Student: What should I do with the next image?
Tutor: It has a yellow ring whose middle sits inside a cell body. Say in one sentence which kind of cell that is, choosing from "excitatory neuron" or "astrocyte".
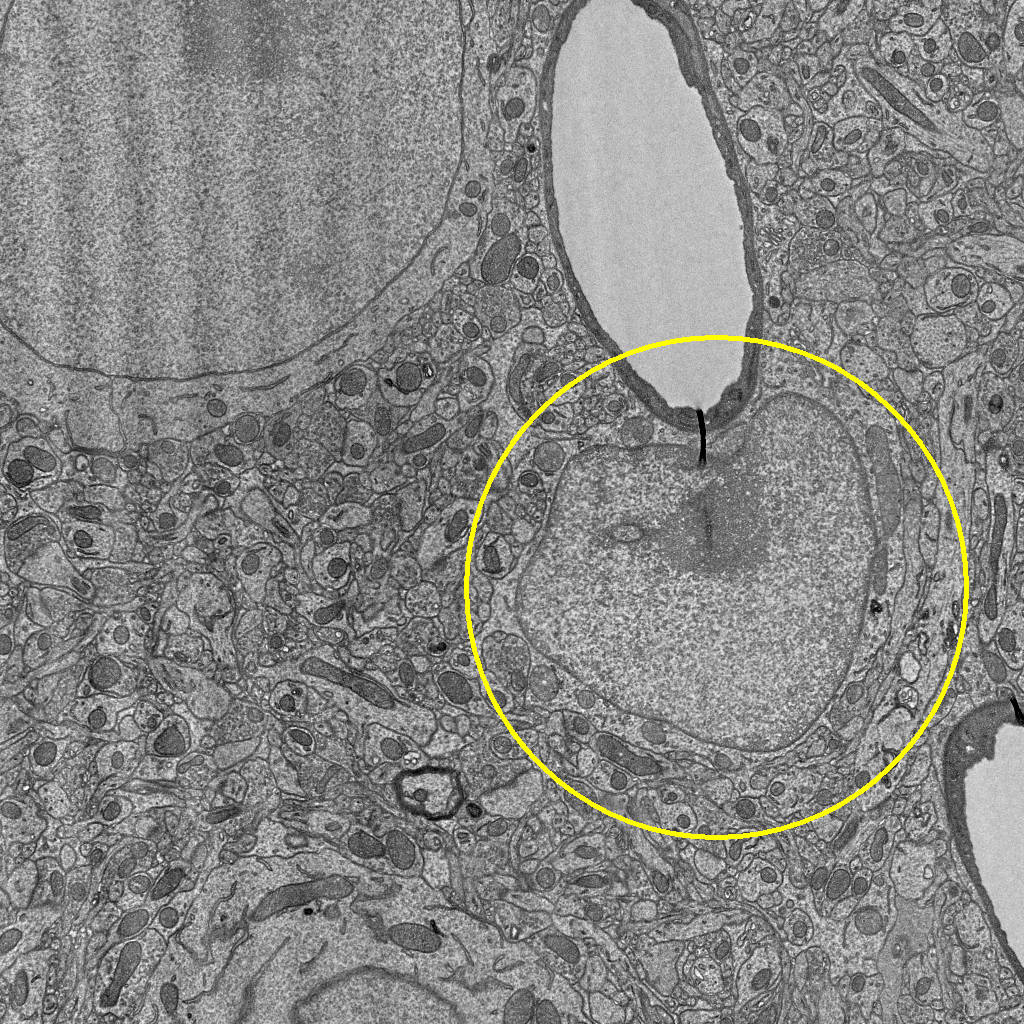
The ring's centre is occupied by an astrocyte.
